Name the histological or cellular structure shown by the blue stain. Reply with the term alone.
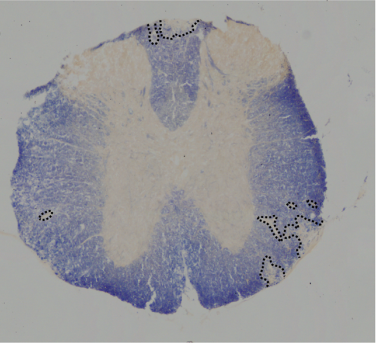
Myelin.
